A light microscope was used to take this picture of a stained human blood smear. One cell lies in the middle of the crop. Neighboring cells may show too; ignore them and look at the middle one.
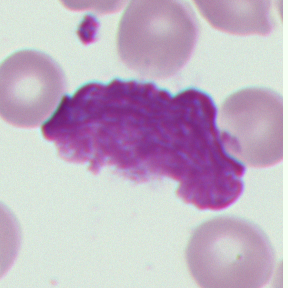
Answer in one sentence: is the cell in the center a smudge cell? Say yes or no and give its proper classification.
Yes, as for the central cell, it is a smudge cell.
